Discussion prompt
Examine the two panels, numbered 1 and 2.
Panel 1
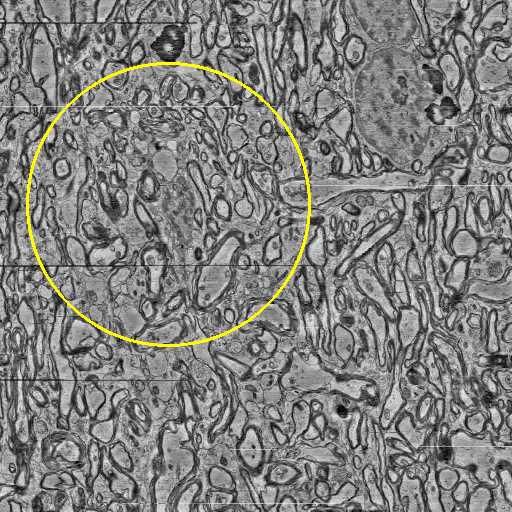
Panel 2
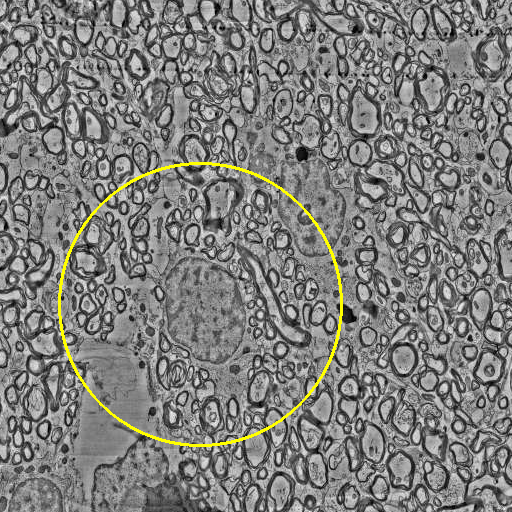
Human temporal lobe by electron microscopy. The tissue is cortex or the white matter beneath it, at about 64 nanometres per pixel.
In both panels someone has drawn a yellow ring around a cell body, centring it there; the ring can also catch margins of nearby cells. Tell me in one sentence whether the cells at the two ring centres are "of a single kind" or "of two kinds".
Taken together, the two cells centred in the rings of Panels 1 and 2 are of two kinds.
